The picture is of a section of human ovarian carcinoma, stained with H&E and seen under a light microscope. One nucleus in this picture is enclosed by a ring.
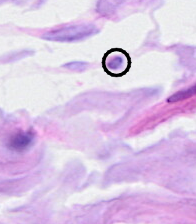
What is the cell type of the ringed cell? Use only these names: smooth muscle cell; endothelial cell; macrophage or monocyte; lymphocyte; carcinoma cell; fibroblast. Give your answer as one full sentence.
It is as a lymphocyte that the ringed cell is recorded.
